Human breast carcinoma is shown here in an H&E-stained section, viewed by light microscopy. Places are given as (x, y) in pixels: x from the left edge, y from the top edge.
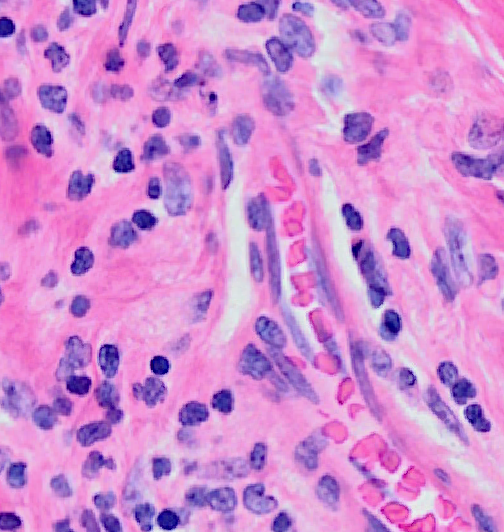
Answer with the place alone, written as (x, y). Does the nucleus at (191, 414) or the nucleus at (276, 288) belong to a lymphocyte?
(191, 414)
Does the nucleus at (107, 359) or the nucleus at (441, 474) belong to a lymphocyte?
(107, 359)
